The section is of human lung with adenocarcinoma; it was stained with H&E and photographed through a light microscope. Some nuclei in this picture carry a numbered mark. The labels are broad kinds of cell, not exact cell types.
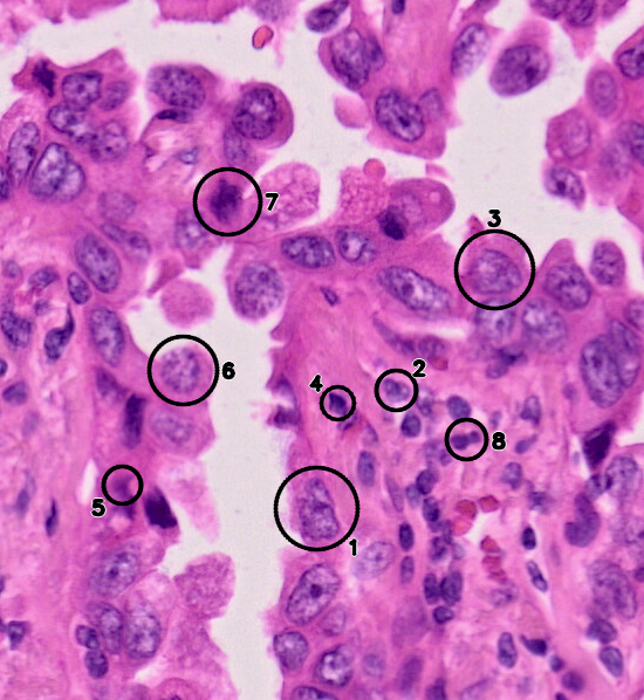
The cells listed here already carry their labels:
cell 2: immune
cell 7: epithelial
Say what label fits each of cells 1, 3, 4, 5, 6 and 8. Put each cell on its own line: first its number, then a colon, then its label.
1: epithelial
3: epithelial
4: immune
5: epithelial
6: epithelial
8: immune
